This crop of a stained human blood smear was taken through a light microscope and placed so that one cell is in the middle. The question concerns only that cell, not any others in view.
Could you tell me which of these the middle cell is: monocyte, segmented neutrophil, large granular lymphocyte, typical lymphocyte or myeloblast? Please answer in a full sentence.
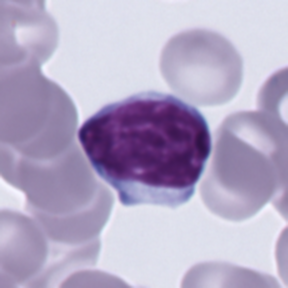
The crop's centre is taken up by a typical lymphocyte.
